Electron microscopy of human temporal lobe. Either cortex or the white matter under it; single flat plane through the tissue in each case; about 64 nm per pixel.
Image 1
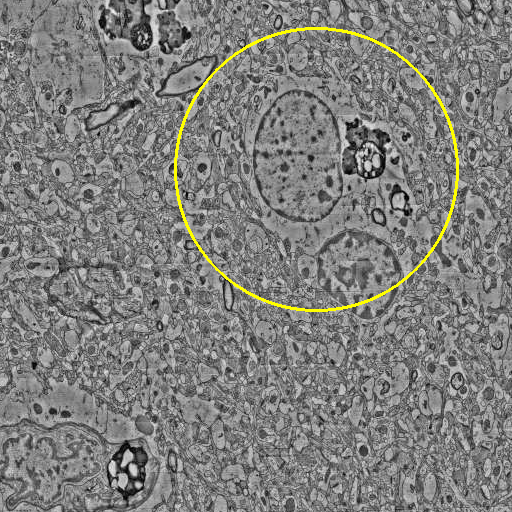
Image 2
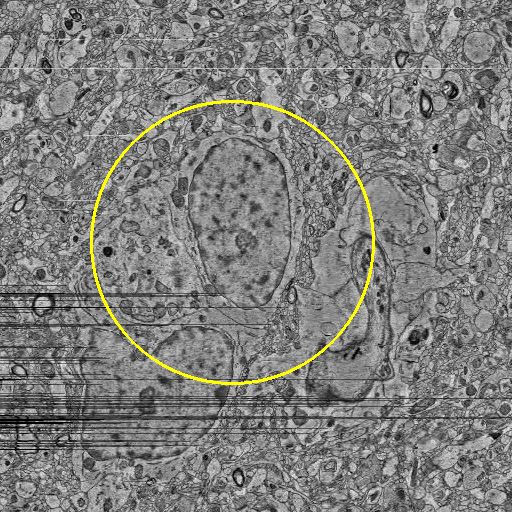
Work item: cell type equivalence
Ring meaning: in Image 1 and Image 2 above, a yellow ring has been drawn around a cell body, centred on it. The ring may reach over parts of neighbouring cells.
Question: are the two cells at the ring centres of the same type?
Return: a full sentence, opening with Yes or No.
No, the two centred cells are of two types.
